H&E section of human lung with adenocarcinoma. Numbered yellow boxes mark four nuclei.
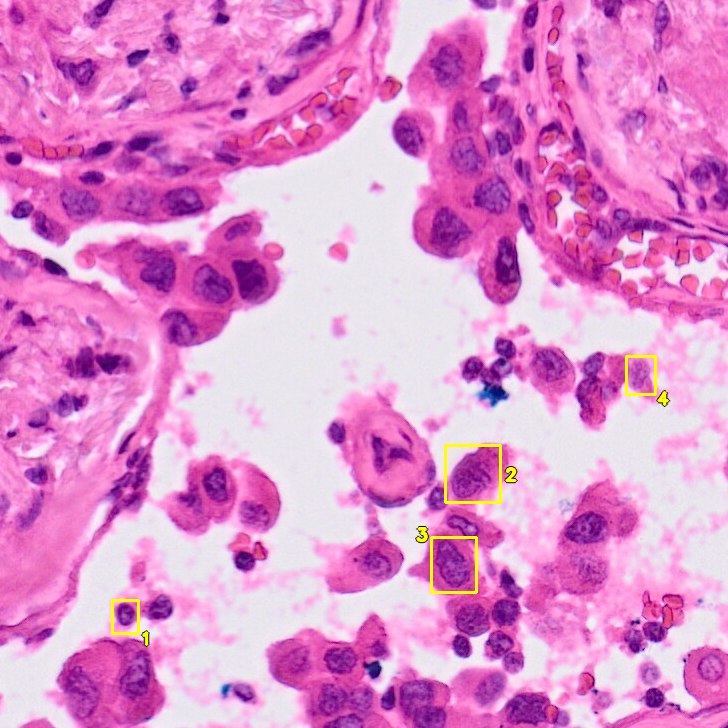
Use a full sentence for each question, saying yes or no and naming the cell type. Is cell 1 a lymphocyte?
Yes, that one, number 1, is a lymphocyte.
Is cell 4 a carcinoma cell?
No, it is a macrophage or monocyte, not a carcinoma cell, at number 4.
